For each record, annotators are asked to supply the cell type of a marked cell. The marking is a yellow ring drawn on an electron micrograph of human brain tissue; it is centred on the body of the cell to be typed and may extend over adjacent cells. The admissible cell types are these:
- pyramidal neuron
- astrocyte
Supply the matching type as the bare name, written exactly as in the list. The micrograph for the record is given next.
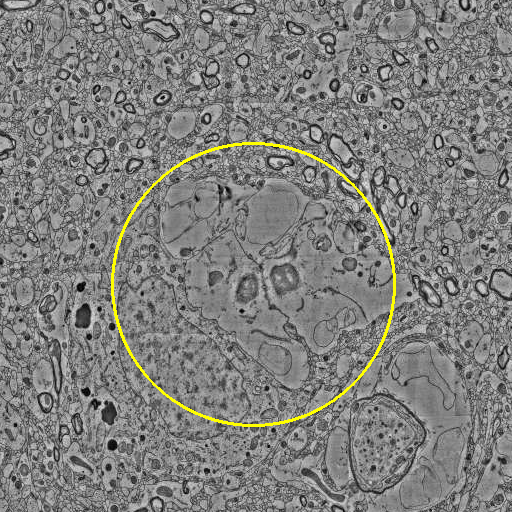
astrocyte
